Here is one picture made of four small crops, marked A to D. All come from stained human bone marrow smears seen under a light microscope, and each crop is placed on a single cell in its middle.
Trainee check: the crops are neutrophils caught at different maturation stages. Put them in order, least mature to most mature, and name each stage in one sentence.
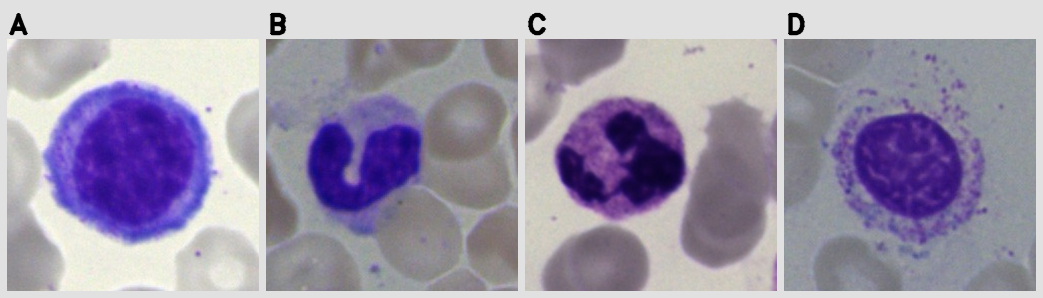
Ranked in ascending maturity, the crops are crop A (a promyelocyte), crop D (a myelocyte), crop B (a band neutrophil) and crop C (a segmented neutrophil).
